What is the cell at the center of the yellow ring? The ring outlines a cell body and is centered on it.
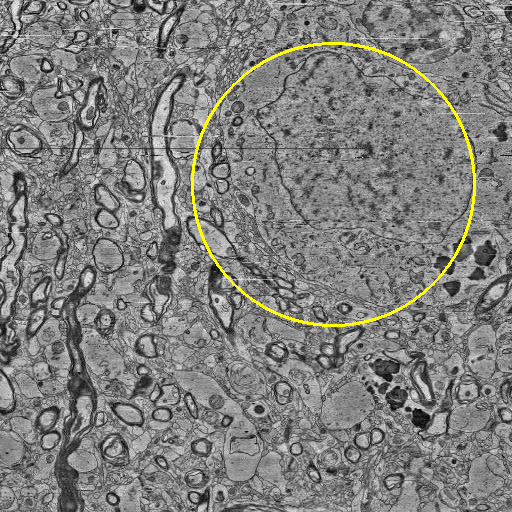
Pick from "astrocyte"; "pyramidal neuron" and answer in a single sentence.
The yellow ring is centered on a pyramidal neuron.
